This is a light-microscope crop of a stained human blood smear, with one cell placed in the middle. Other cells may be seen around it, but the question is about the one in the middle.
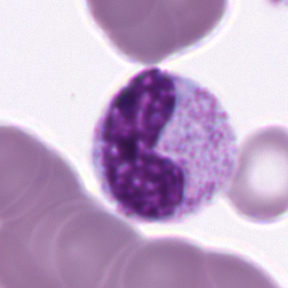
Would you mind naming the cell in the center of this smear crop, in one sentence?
The crop centres on a single cell, and that cell is a band neutrophil.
